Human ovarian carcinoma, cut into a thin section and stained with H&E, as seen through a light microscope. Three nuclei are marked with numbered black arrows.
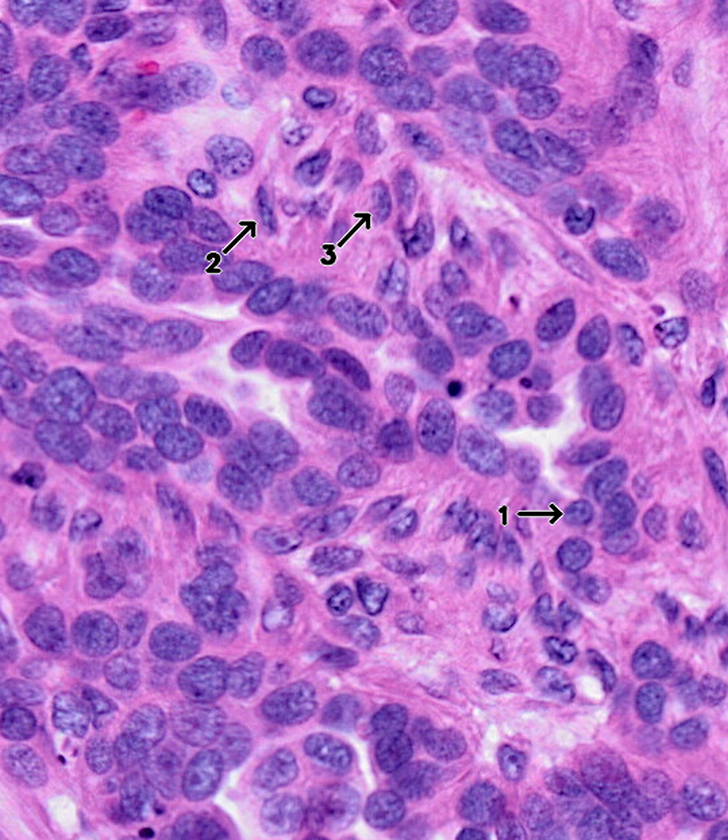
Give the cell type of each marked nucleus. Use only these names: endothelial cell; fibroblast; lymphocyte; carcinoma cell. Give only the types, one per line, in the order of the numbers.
carcinoma cell
fibroblast
fibroblast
